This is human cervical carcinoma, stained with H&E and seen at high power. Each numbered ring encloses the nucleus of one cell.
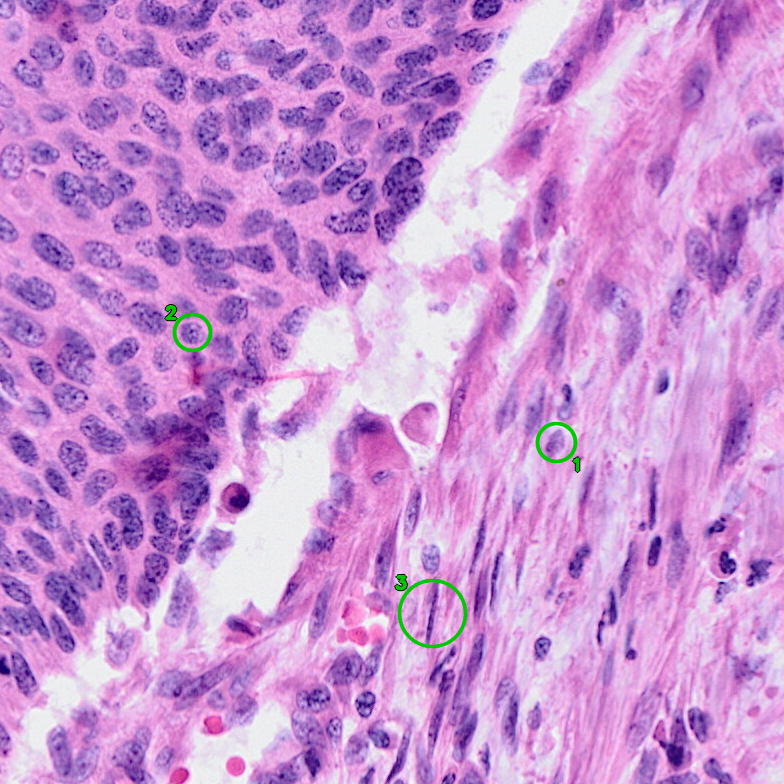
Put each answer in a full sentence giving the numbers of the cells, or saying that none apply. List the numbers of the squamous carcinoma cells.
Of those with numbers, only cell 2 is a squamous carcinoma cell.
